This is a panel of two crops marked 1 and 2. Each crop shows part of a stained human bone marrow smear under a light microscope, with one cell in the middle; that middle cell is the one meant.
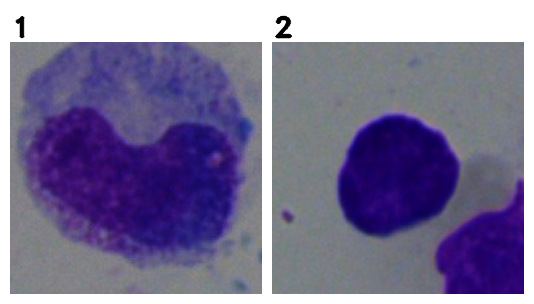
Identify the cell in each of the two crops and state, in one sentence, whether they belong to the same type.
No, crop 1 shows a monocyte, and it is crop 2 that shows a lymphocyte.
